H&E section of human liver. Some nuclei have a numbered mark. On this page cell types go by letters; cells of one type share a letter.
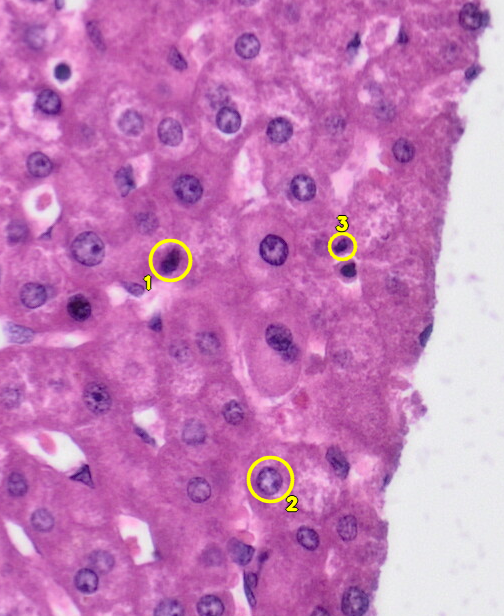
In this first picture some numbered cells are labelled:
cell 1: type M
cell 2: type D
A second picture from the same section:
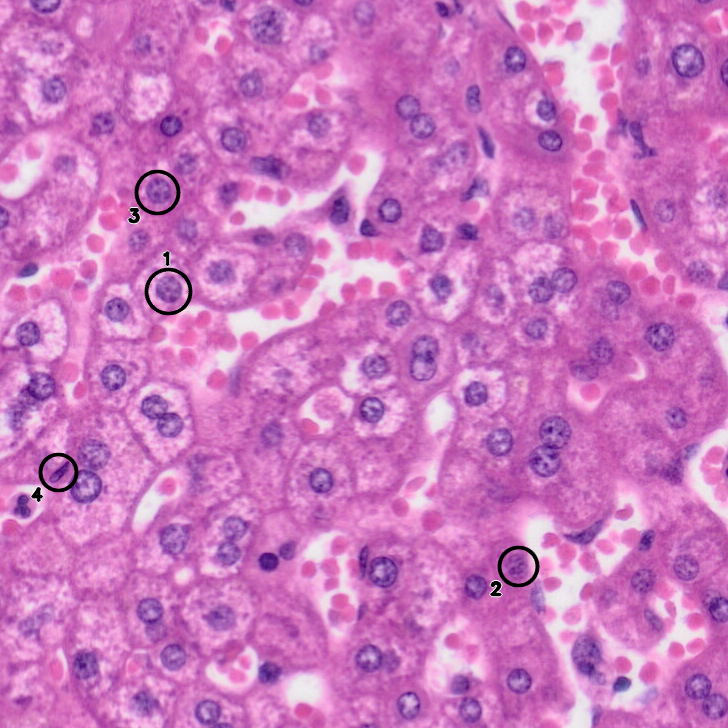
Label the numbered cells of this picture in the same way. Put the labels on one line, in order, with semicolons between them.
type D; type D; type D; type M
